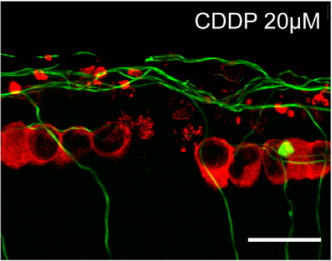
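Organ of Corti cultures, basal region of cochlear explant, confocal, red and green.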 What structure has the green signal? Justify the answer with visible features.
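Auditory nerve fibers. Thin, long green threads run across the field. Some green threads run lengthwise, others branch down toward the bottom edge.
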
